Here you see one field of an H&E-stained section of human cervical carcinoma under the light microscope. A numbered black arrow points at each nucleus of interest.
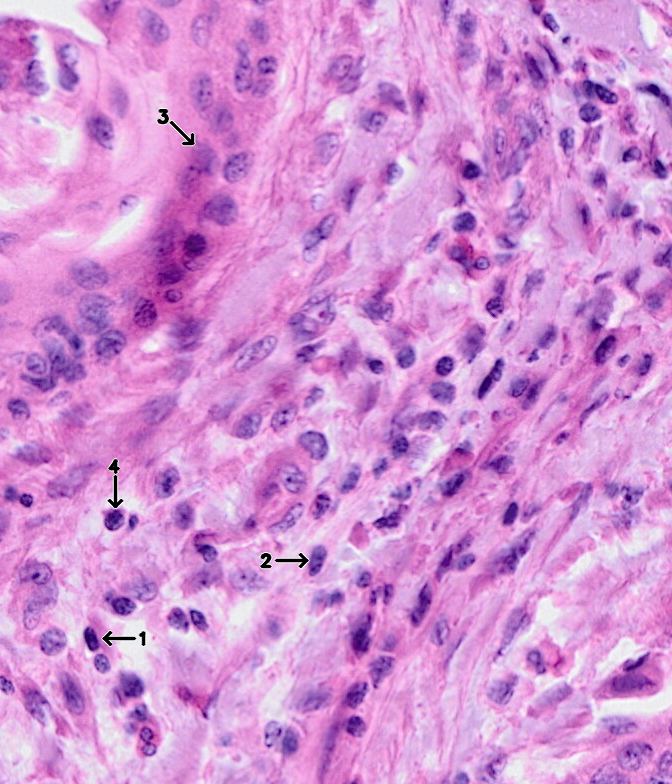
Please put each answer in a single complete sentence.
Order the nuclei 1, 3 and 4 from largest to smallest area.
From largest to smallest, the order is 3, 4, 1.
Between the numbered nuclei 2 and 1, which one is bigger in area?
It is nucleus 2, which covers about 2 times the area of nucleus 1.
